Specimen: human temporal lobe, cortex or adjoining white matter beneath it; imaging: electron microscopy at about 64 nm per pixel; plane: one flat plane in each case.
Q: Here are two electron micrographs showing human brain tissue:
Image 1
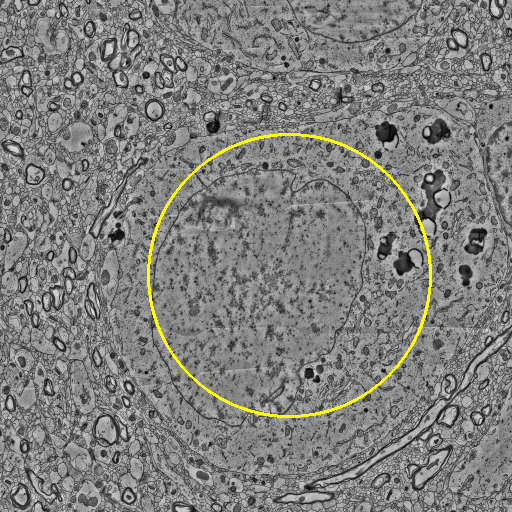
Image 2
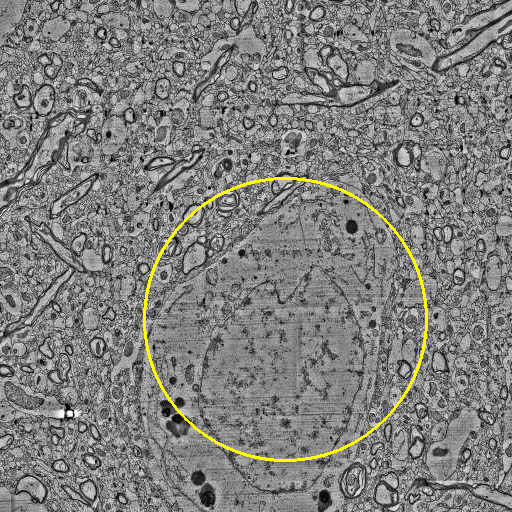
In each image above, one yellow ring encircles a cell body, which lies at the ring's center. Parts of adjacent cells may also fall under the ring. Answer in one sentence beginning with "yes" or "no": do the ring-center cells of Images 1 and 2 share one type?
Yes, in Images 1 and 2, the ring-center cells are both of one type.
